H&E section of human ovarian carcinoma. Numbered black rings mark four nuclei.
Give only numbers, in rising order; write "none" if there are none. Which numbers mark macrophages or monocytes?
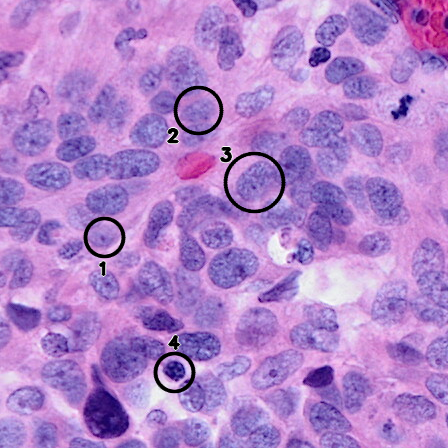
none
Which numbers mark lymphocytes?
4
